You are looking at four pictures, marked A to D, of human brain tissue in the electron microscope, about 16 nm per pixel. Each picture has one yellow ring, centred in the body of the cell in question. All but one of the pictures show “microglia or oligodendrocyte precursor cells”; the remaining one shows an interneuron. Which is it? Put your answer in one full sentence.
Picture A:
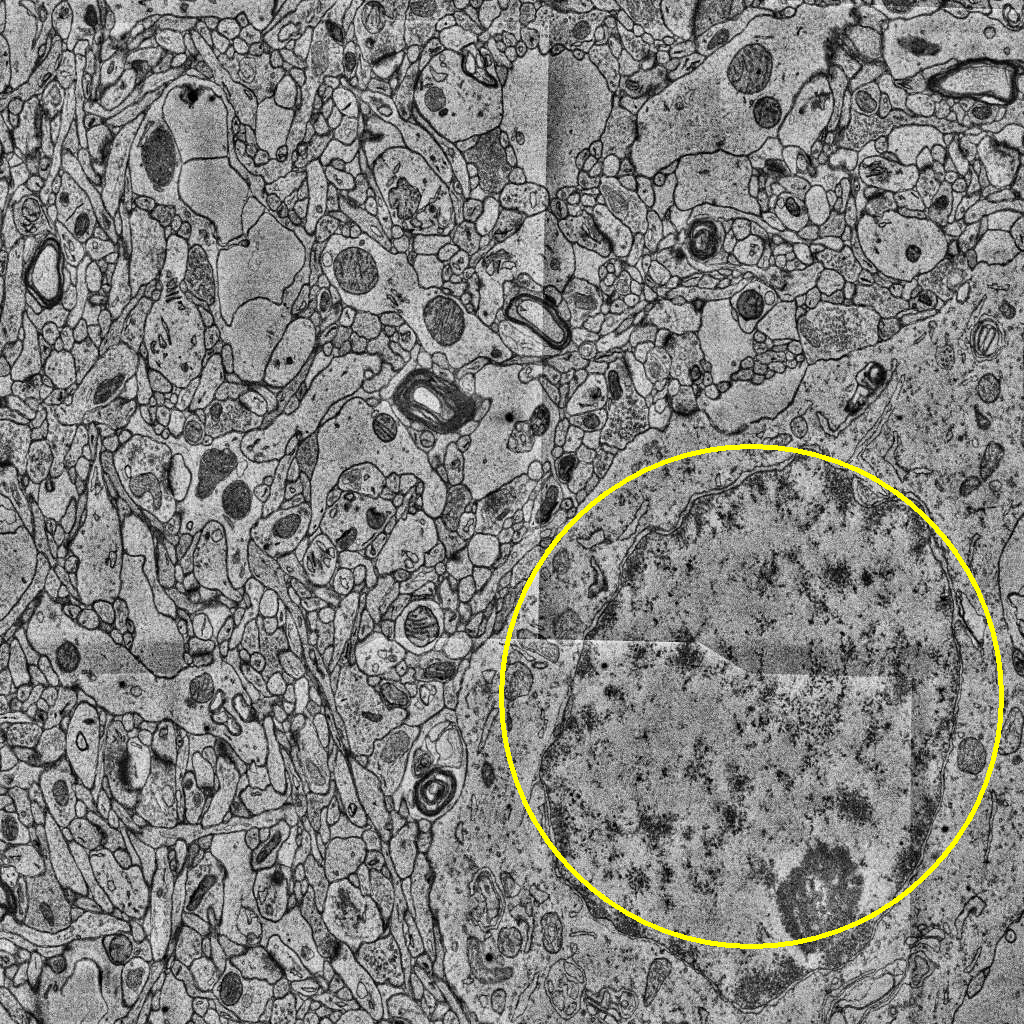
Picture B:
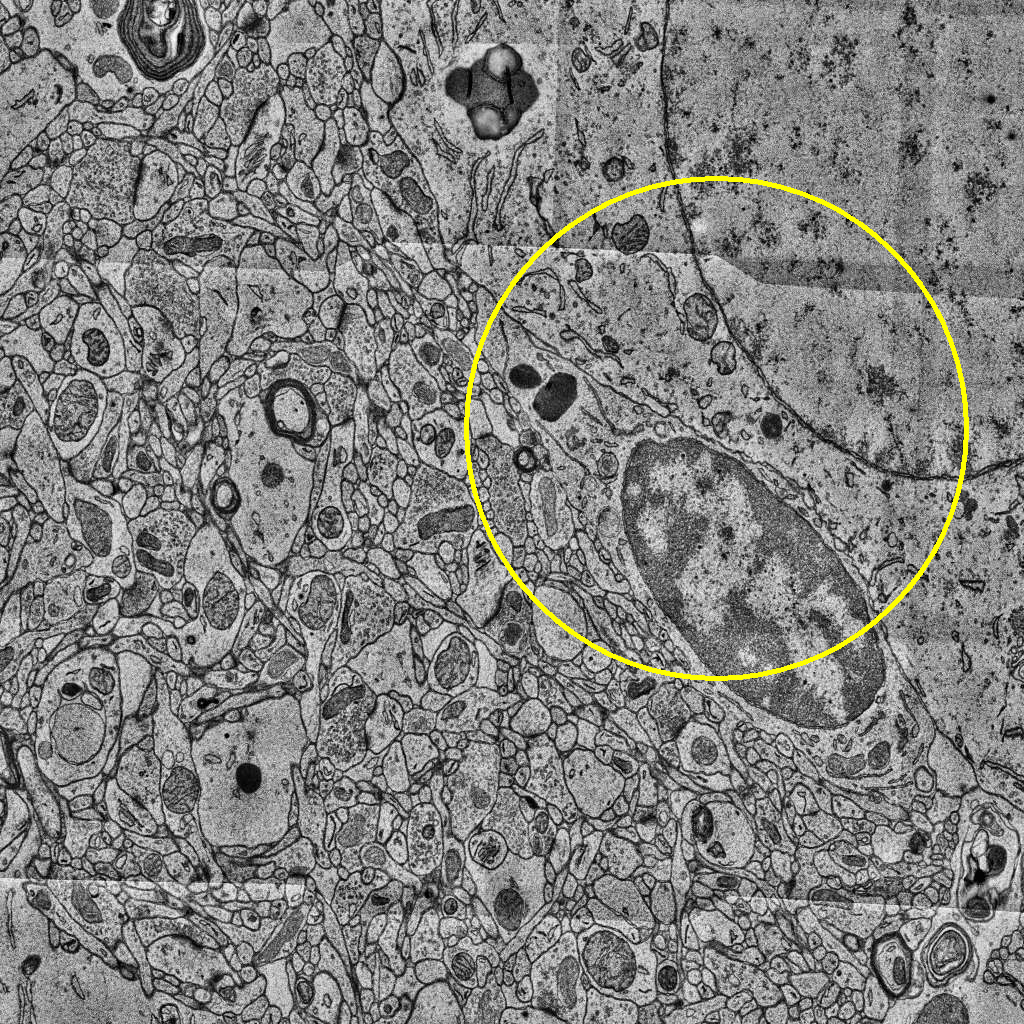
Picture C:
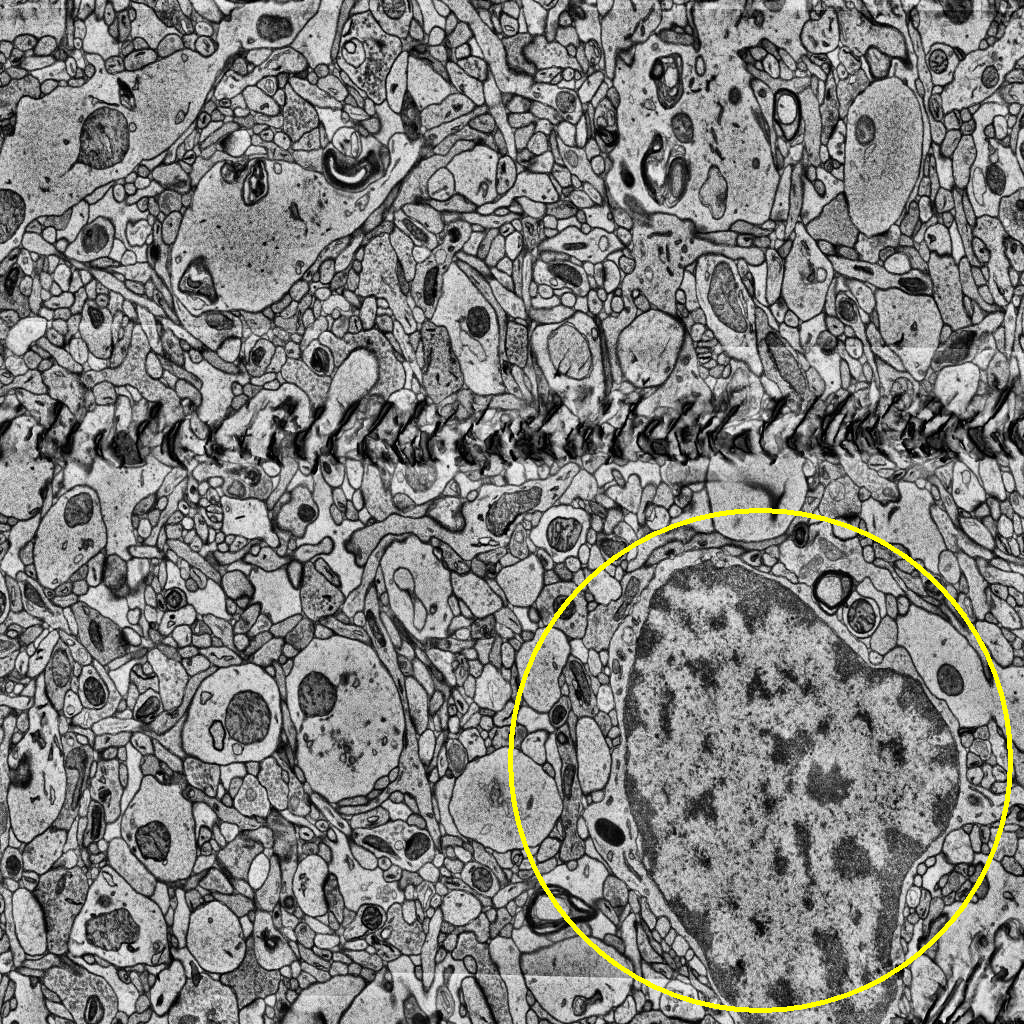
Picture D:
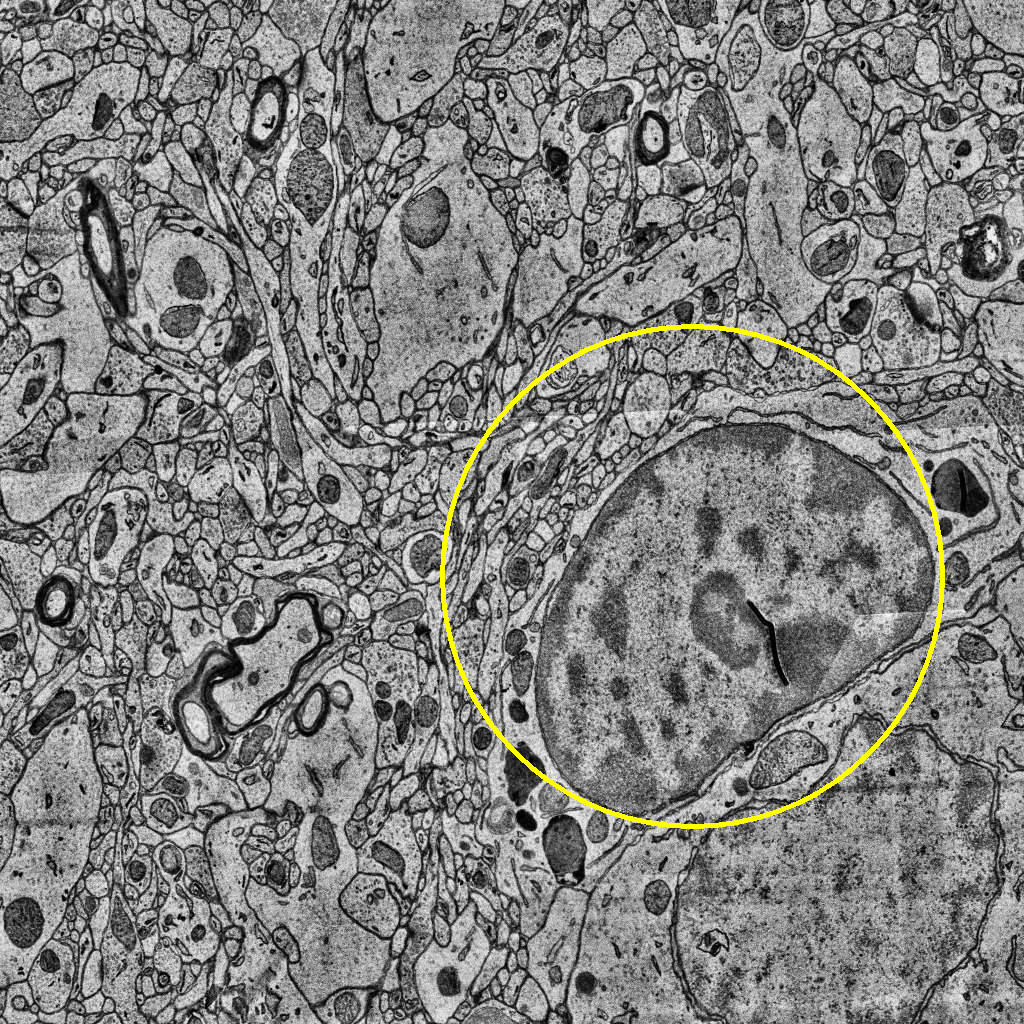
The picture with the interneuron is A.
